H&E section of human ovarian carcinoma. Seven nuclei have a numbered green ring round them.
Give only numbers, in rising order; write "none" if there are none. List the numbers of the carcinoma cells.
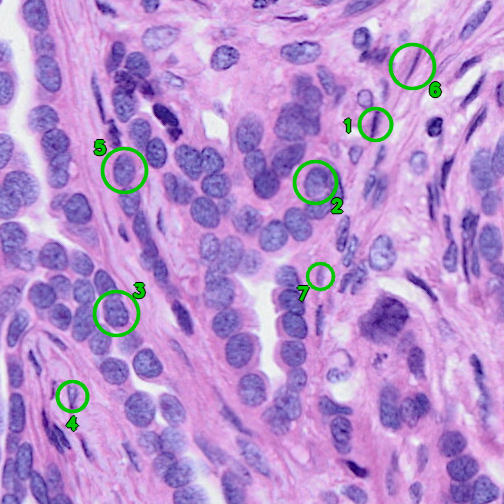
2, 3, 5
